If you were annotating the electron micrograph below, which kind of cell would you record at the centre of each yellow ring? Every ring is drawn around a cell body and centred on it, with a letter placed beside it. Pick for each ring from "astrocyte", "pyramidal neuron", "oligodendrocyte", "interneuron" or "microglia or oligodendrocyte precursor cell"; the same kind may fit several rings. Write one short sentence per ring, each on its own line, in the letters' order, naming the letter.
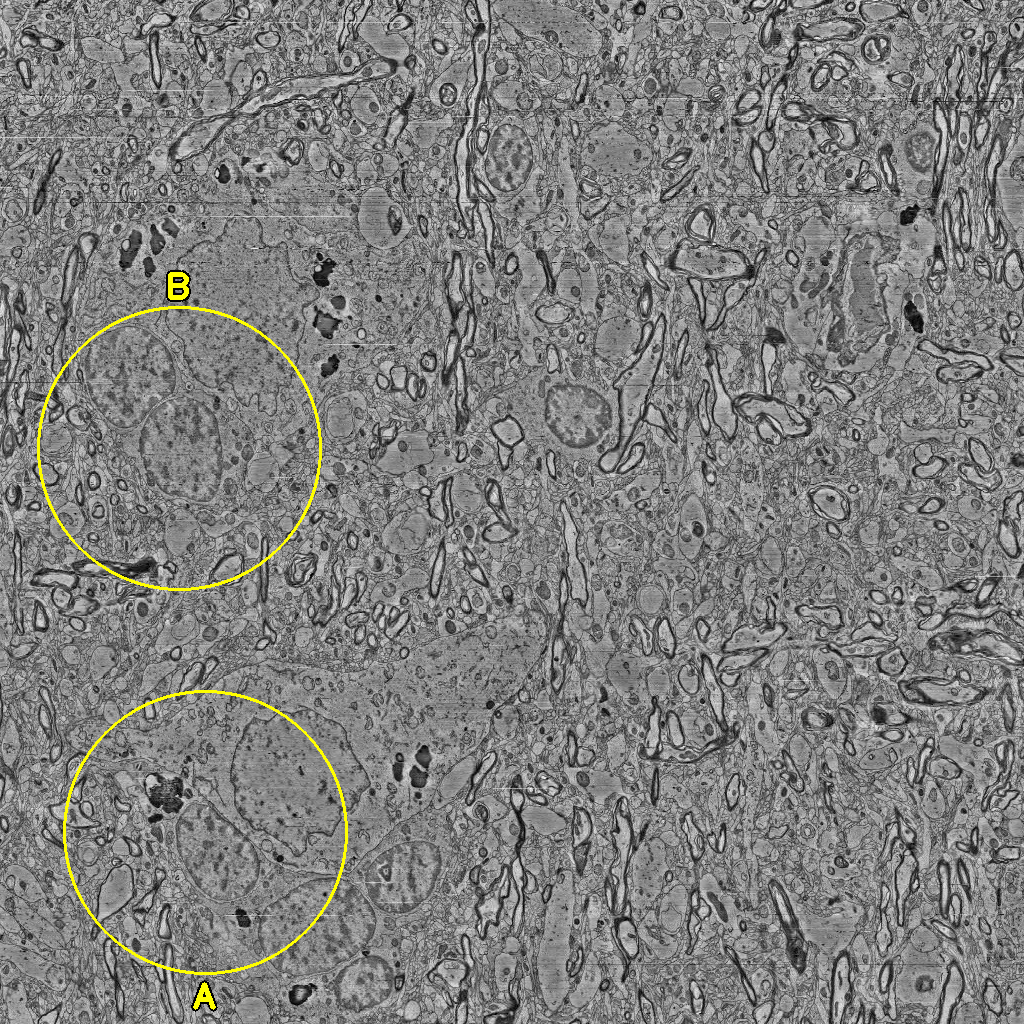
For ring A, I would record an oligodendrocyte.
For ring B, I would record an oligodendrocyte.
